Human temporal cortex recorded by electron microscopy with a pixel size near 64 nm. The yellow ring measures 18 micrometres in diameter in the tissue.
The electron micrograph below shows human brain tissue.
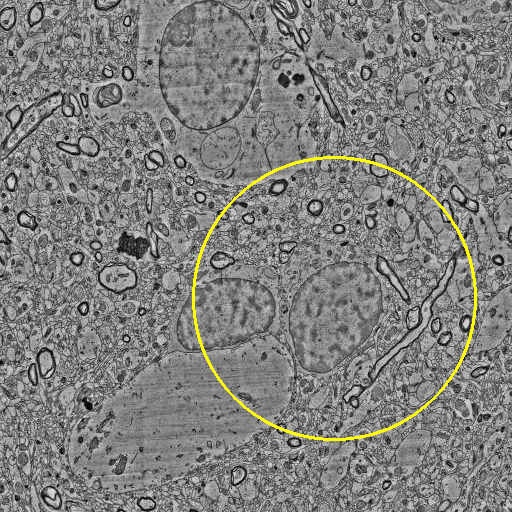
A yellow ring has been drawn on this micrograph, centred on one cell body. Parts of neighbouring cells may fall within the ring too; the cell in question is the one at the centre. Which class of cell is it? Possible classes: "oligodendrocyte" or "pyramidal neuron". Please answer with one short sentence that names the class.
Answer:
In the centre of the ring sits an oligodendrocyte.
